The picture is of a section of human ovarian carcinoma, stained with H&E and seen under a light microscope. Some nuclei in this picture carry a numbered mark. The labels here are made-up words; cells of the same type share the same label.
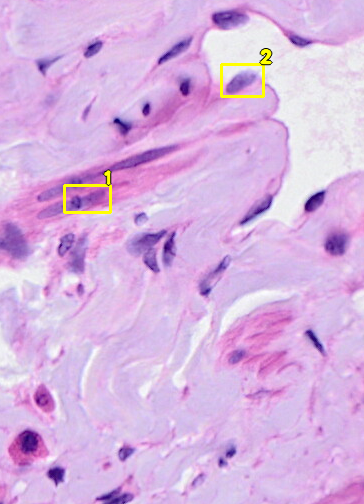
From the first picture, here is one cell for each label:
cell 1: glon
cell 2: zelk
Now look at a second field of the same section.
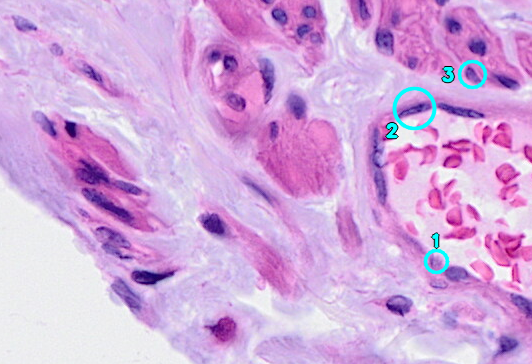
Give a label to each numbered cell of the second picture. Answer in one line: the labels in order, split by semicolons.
zelk; zelk; glon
